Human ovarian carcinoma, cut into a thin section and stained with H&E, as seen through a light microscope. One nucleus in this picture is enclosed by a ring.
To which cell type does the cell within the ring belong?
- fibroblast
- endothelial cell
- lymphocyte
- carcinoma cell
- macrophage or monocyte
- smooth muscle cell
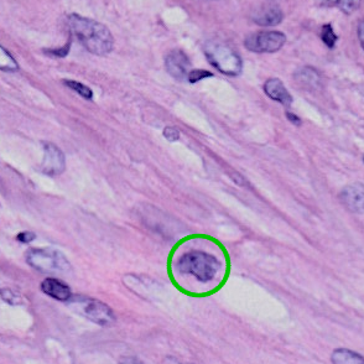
macrophage or monocyte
